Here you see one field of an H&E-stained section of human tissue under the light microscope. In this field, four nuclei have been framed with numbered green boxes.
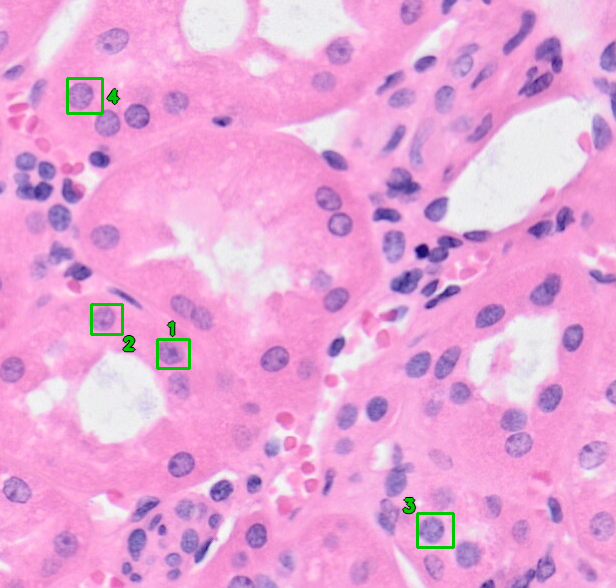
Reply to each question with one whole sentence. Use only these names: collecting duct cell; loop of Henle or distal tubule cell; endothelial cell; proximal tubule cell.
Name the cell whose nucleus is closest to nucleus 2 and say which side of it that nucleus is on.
Lying above and to the right of nucleus 2, the nearest nucleus is that of an endothelial cell.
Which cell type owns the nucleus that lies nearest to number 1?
The nearest nucleus to number 1 belongs to a proximal tubule cell.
